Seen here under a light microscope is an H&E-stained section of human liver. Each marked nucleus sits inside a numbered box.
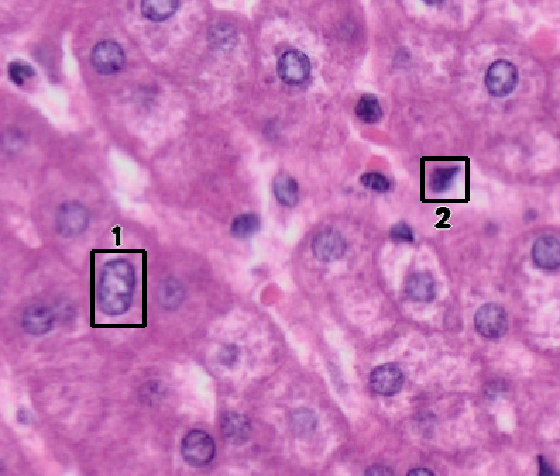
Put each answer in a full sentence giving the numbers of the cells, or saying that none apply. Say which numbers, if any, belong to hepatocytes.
Nothing but cell 1 is a hepatocyte among the numbered ones.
